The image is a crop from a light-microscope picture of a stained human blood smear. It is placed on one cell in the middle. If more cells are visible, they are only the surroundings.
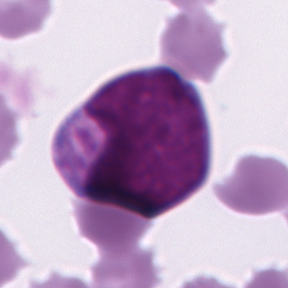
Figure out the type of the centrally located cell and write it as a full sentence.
The central cell shown in this smear crop is a blast.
